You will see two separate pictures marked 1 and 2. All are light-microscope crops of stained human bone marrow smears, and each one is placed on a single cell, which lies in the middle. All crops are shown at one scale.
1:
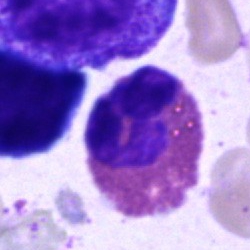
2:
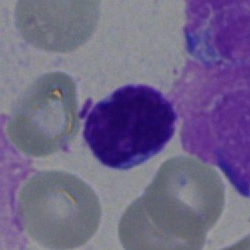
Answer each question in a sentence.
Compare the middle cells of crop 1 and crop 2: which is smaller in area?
The cell in crop 2 is smaller; the one in crop 1 has about 2 times its area.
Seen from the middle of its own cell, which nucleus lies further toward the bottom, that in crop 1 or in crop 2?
In crop 2 the nucleus is shifted more toward the bottom.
